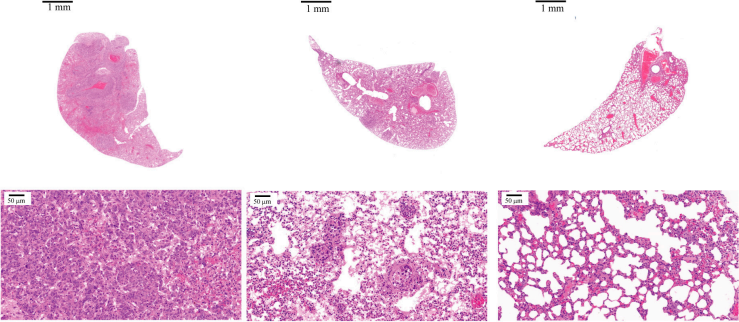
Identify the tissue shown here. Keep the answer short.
Lung.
